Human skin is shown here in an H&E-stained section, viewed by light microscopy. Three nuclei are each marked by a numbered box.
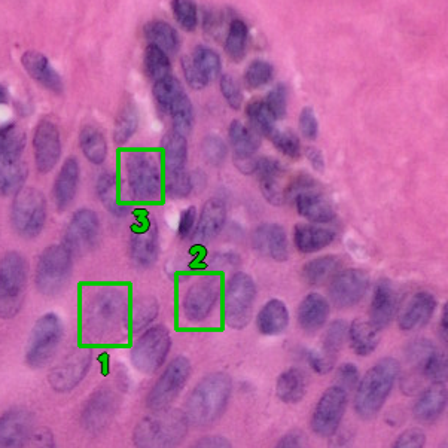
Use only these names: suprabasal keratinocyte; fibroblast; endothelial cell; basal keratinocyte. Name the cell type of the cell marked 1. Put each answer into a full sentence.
The cell that bears the number 1 is a suprabasal keratinocyte.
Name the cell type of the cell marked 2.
The nucleus labelled 2 belongs to a suprabasal keratinocyte.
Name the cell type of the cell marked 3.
Numbered cell 3 is a basal keratinocyte in this tissue section.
